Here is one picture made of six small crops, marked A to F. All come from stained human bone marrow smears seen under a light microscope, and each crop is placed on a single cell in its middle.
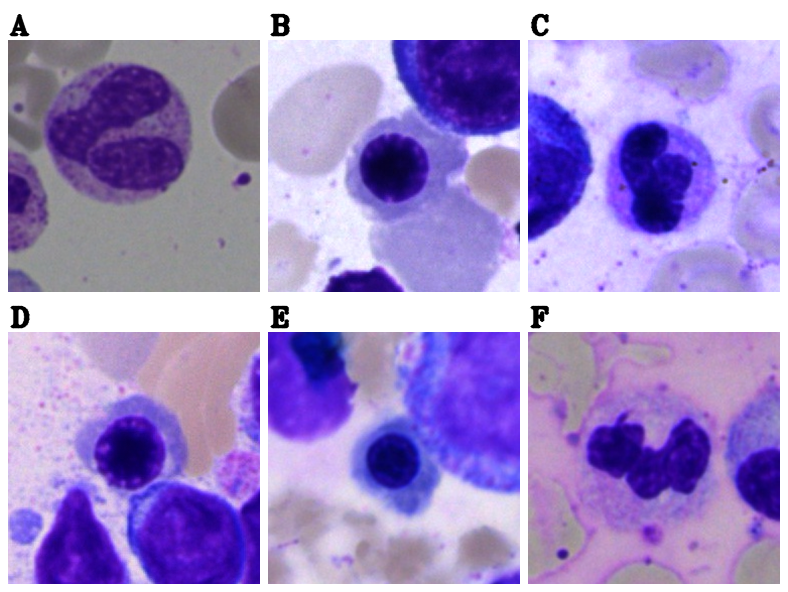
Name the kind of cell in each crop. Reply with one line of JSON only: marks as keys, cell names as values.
{"A": "neutrophil", "B": "normoblast", "C": "neutrophil", "D": "normoblast", "E": "normoblast", "F": "neutrophil"}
